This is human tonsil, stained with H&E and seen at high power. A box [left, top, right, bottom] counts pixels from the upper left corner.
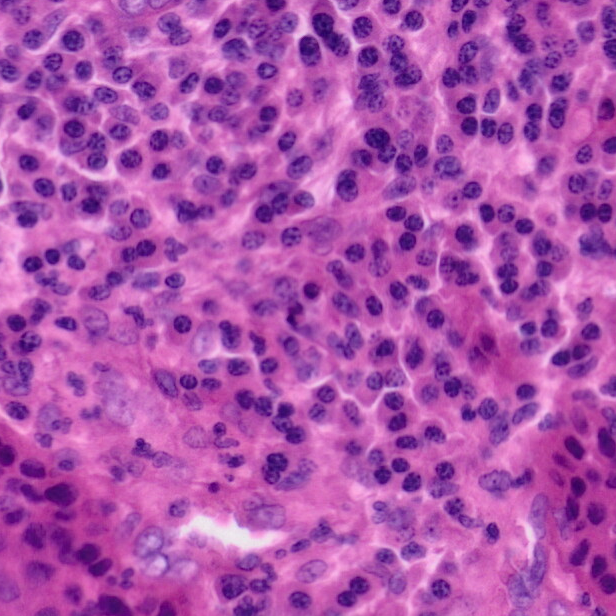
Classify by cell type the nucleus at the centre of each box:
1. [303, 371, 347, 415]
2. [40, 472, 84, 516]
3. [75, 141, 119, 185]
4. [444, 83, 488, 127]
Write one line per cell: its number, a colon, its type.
1: plasma cell
2: squamous epithelial cell
3: plasma cell
4: plasma cell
